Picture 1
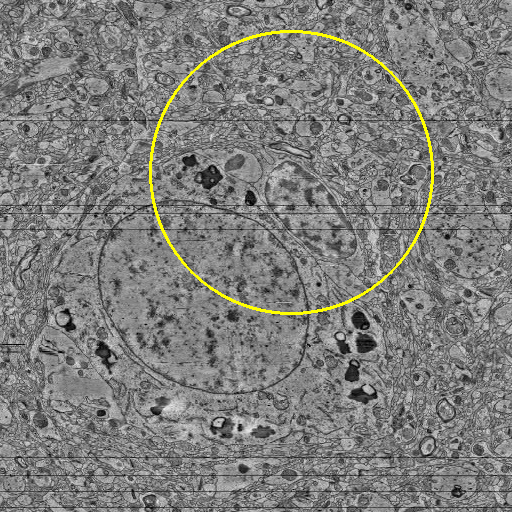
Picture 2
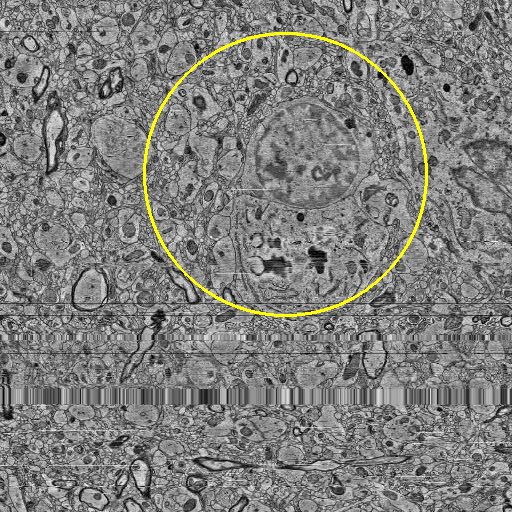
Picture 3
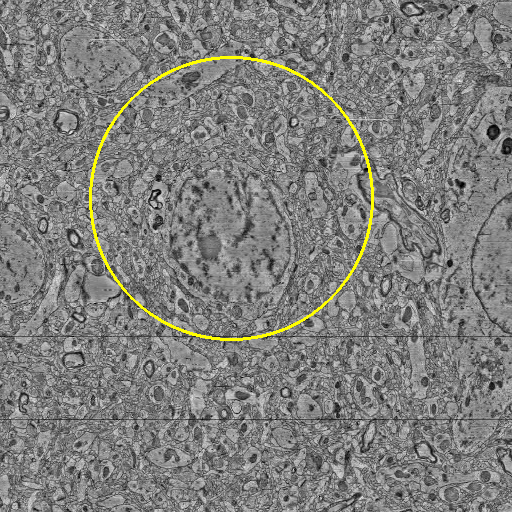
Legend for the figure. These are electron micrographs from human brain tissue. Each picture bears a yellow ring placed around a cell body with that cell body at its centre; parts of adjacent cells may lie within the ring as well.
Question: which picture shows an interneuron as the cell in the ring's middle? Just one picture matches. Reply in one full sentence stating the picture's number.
It is picture 3 whose yellow ring is centred on the requested cell.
